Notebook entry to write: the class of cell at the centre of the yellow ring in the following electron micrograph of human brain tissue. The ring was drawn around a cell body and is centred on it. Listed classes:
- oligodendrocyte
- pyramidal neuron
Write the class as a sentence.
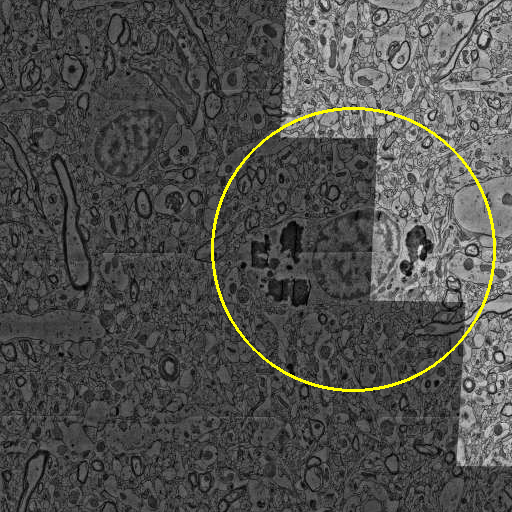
The yellow ring sits on an oligodendrocyte.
